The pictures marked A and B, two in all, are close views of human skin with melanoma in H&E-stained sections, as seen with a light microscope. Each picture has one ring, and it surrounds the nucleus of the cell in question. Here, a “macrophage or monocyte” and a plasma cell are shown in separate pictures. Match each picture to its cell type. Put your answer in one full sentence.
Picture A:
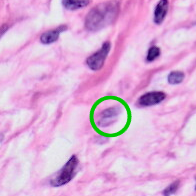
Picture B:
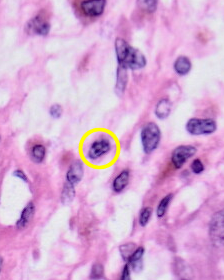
The cell in picture A is a “macrophage or monocyte”, and the one in picture B is a plasma cell.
